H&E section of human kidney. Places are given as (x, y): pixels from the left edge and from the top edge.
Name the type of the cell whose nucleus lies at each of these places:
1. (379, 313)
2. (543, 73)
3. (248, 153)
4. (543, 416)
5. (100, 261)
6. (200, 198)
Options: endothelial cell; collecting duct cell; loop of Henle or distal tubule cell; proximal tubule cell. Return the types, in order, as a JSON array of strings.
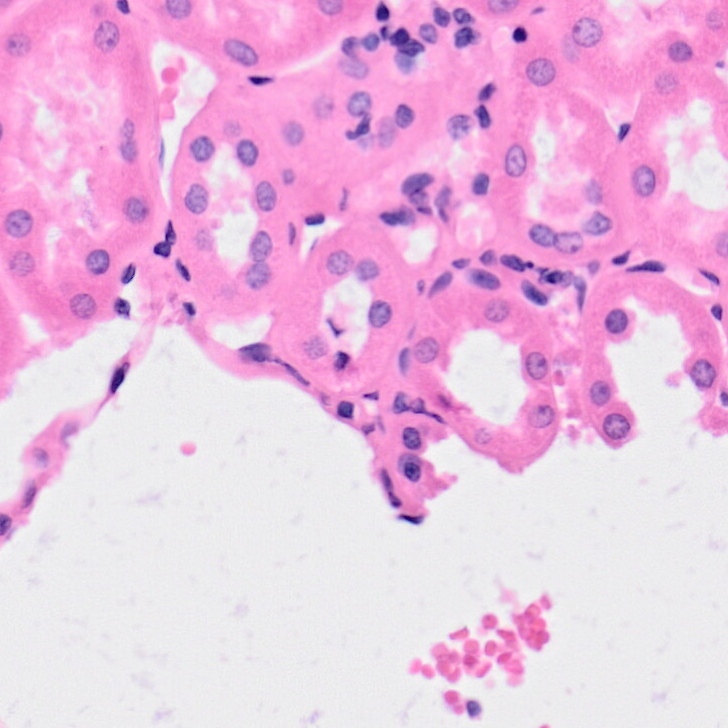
["loop of Henle or distal tubule cell", "proximal tubule cell", "loop of Henle or distal tubule cell", "proximal tubule cell", "proximal tubule cell", "loop of Henle or distal tubule cell"]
